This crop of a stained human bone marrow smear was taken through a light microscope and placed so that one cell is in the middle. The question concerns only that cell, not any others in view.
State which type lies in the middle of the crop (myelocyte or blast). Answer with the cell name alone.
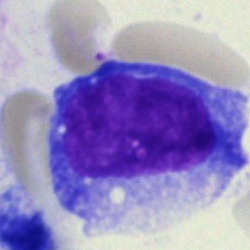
blast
